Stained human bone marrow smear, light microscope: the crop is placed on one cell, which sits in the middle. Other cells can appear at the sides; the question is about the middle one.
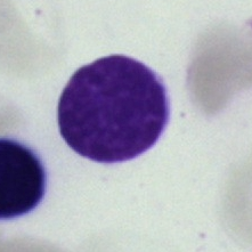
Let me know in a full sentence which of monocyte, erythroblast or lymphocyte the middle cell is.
Standing at the centre of this crop is a lymphocyte.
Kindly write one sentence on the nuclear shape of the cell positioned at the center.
In this cell the nucleus is a solitary compact mass, round, oval or kidney-shaped.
